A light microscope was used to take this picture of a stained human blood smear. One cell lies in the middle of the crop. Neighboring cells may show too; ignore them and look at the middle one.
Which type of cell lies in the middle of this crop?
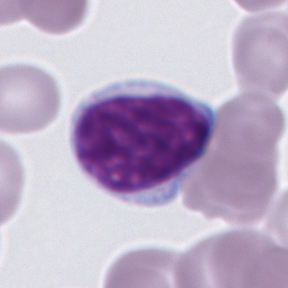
large granular lymphocyte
